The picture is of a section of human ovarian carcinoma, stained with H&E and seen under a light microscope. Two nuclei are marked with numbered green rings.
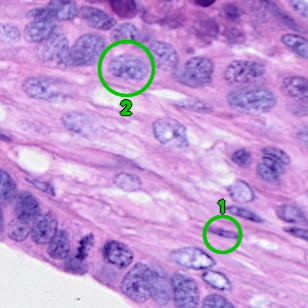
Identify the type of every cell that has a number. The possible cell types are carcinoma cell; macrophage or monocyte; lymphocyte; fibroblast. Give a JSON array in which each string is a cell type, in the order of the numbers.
["fibroblast", "carcinoma cell"]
